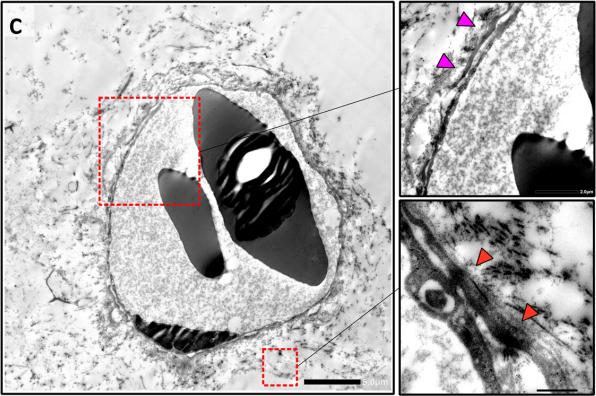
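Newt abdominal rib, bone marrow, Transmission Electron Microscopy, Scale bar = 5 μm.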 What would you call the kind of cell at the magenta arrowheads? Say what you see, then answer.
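Pericytes. The arrowheads point to thin, elongated cell profiles lying outside the inner lining of the vessel. These cells wrap around the vessel wall.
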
